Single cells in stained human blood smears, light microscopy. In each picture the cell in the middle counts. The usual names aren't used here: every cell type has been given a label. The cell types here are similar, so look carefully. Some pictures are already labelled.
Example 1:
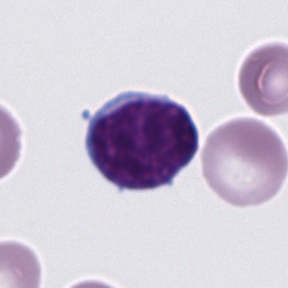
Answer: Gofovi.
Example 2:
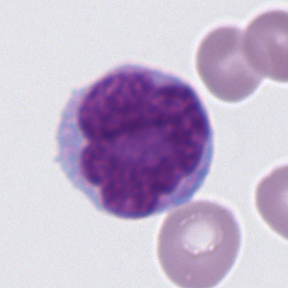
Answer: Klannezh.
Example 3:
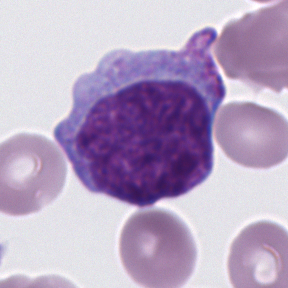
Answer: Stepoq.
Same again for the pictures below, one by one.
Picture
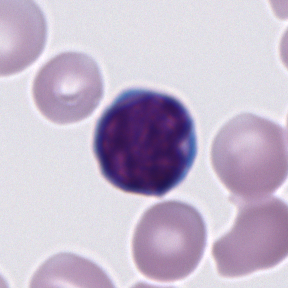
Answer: Gofovi.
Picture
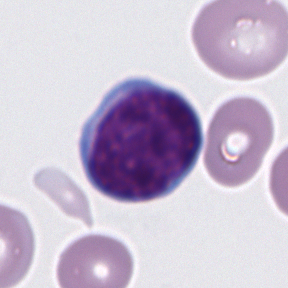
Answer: Gofovi.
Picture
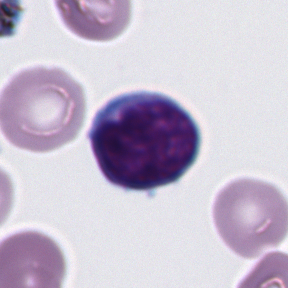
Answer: Gofovi.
